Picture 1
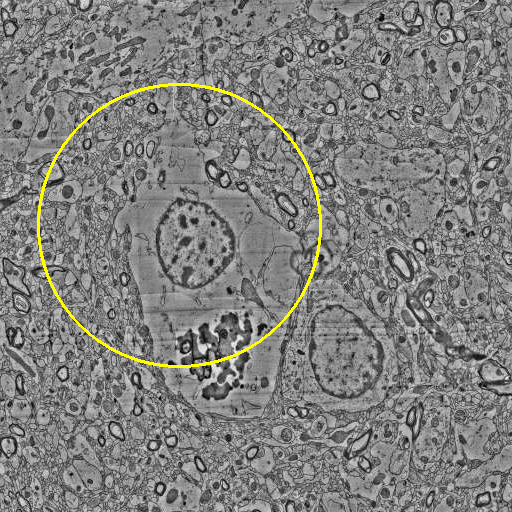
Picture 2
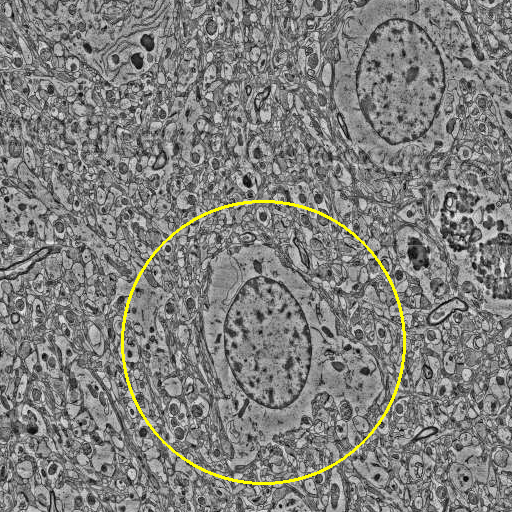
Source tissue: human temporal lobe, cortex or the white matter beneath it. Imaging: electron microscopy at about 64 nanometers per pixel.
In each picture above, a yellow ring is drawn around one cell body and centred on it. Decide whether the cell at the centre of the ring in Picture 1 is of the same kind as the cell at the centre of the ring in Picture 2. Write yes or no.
yes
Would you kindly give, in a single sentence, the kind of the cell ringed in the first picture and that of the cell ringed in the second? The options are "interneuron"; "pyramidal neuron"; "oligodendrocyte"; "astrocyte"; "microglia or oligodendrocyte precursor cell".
The cell at the ring centre is an astrocyte in both pictures.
